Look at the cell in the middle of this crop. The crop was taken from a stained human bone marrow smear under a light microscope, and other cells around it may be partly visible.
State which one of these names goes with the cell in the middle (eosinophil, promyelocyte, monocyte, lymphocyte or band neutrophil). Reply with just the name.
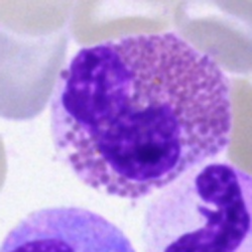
eosinophil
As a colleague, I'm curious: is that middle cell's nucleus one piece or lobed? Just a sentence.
Rather than a single mass, the nucleus forms two or more lobes.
